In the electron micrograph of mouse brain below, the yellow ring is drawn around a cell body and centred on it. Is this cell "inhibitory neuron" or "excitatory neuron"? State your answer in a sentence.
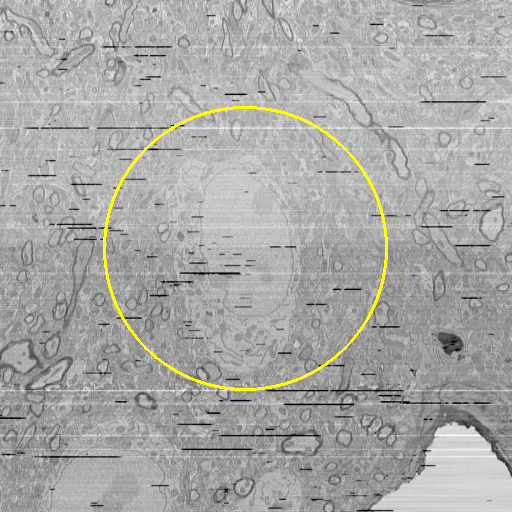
The cell in the middle of the ring is an excitatory neuron.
